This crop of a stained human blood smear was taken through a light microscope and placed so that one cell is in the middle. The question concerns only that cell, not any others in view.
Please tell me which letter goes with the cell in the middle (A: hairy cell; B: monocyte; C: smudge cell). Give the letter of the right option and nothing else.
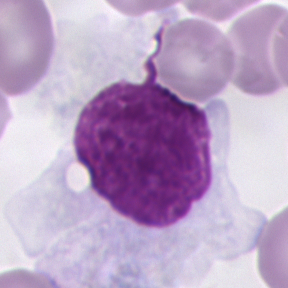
A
